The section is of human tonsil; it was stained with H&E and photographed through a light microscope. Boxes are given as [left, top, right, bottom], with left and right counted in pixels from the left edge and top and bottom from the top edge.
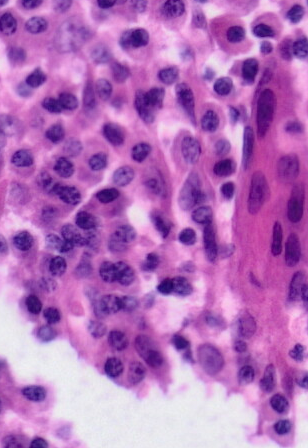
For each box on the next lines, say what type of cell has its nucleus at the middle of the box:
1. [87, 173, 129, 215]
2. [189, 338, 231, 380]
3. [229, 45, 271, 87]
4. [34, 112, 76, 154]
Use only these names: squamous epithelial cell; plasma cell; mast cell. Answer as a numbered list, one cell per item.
1. plasma cell
2. squamous epithelial cell
3. plasma cell
4. plasma cell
